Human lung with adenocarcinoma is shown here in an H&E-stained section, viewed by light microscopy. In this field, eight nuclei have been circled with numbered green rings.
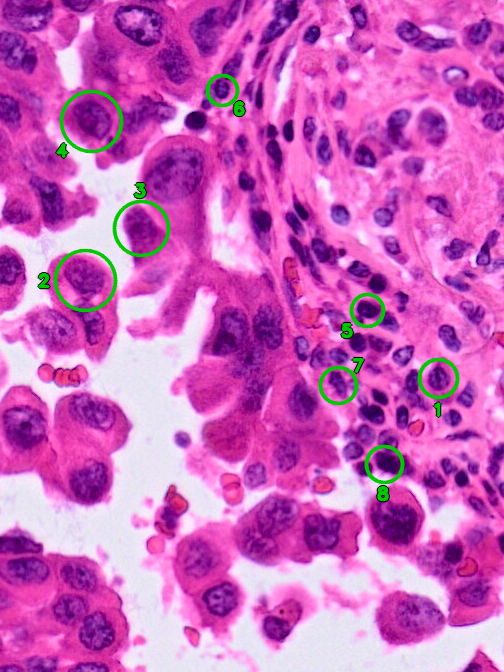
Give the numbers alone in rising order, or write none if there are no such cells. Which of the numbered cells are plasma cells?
1, 5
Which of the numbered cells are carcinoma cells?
2, 3, 4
